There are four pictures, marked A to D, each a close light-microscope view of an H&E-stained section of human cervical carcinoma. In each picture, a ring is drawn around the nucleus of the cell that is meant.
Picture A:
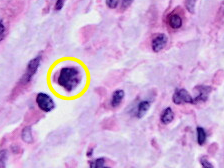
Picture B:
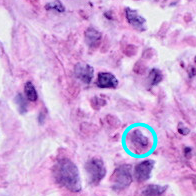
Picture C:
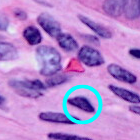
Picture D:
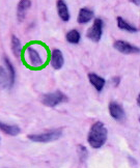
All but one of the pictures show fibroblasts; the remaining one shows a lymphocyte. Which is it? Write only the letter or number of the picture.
A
